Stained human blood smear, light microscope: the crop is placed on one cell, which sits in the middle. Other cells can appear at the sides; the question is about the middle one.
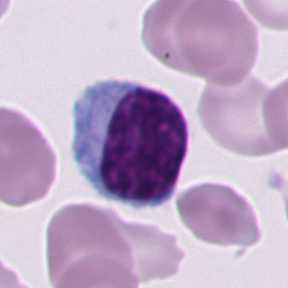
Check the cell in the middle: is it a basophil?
no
